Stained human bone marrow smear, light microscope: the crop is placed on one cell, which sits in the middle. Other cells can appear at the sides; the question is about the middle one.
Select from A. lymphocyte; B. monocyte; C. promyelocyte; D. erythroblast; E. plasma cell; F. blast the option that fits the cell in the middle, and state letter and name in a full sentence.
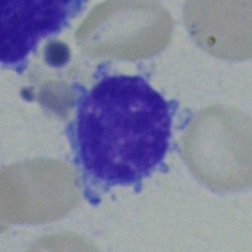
The centrally located cell is a lymphocyte, making option A the correct choice.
